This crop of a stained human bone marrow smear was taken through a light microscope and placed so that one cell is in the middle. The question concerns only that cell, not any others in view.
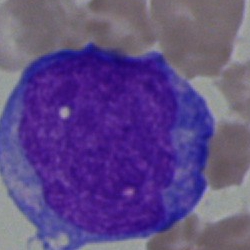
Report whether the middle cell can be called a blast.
yes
